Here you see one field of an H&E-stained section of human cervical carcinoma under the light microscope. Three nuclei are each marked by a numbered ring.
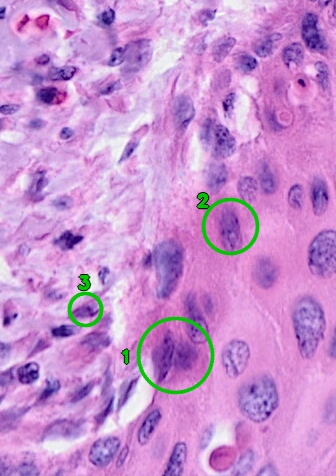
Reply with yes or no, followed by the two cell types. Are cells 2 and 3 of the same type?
No, cell 2 is a squamous carcinoma cell and cell 3 is a fibroblast.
